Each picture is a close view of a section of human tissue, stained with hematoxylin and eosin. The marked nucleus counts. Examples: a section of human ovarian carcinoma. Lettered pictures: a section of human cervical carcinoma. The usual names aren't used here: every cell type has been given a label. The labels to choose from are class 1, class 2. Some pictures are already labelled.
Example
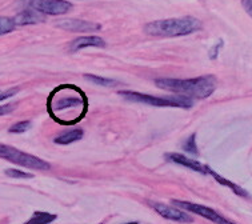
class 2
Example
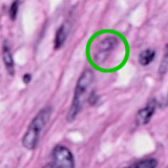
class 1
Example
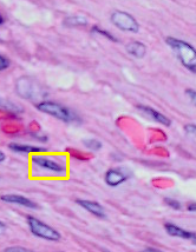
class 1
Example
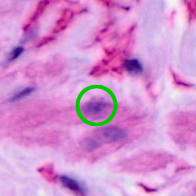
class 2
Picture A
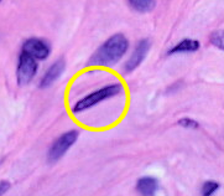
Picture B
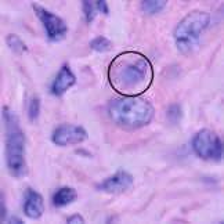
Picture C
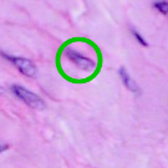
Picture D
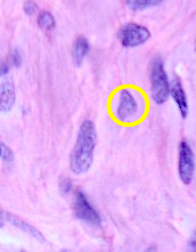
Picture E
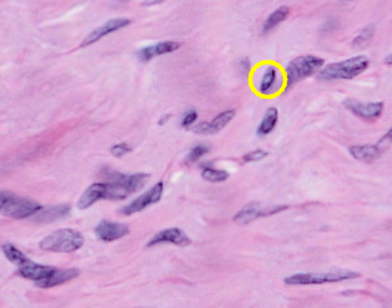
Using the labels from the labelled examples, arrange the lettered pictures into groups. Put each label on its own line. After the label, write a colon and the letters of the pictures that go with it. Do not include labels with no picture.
class 1: A, D, E
class 2: B, C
